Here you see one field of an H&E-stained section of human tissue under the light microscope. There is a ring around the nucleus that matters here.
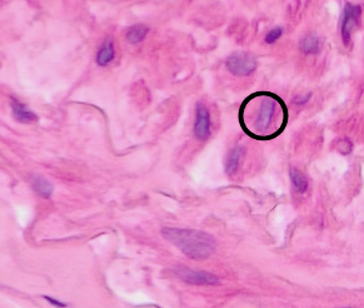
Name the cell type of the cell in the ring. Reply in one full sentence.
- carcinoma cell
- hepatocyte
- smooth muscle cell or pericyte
In this tissue section, the cell in the ring is to be classed as a smooth muscle cell or pericyte.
